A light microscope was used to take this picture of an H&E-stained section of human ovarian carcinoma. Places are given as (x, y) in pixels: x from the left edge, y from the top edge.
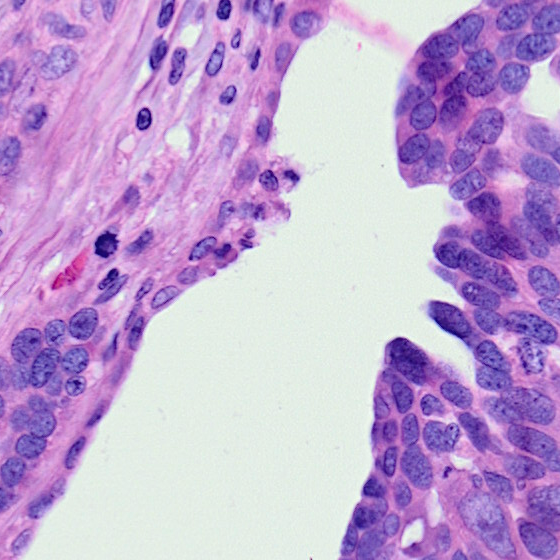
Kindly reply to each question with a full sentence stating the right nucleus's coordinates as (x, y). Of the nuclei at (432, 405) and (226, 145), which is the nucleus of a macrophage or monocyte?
The nucleus of a macrophage or monocyte is the one found at (432, 405), not the other.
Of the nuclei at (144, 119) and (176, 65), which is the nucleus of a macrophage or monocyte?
Of these two nuclei, only the one at (176, 65) belongs to a macrophage or monocyte.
